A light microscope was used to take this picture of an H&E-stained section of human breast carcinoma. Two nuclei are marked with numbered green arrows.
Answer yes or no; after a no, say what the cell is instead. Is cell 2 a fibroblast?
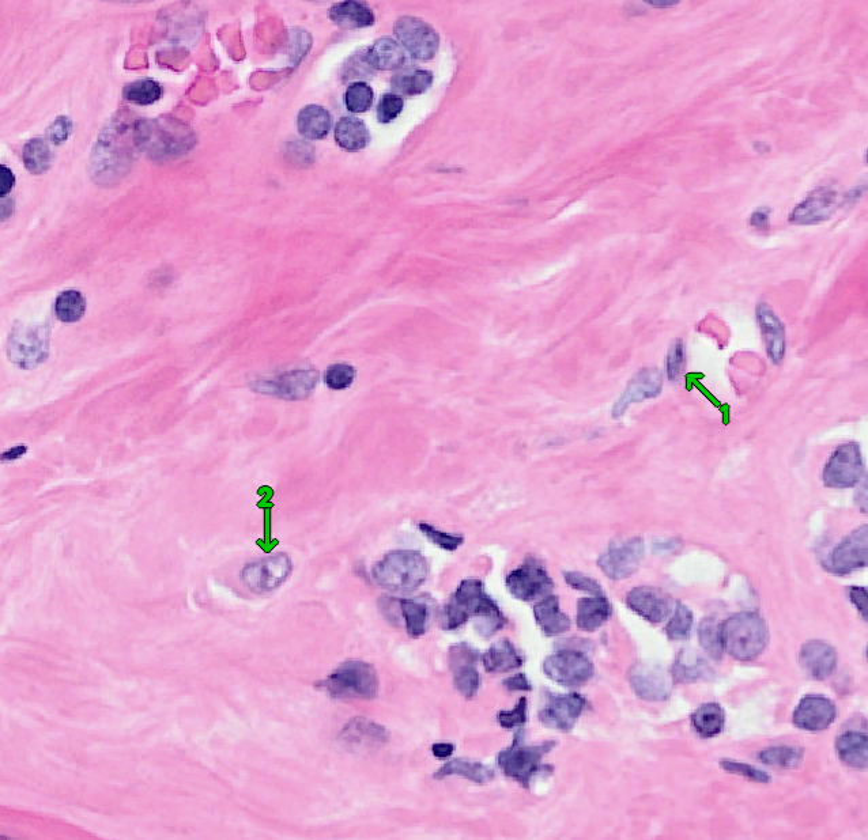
Yes.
